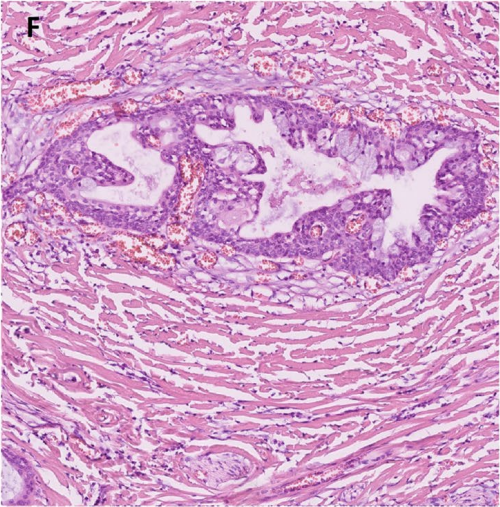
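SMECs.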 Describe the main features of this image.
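An irregular cystic space lined by epithelial tumor cells sits within dense, pink, hyalinized collagen. The lining is several cells thick, made of small cells with round purple nuclei, with paler, larger mucoid cells with clear cytoplasm among them and facing the lumen. The lumen holds pale, wispy material. Small blood vessels filled with red cells ring the epithelial structure at its border with the collagen.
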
